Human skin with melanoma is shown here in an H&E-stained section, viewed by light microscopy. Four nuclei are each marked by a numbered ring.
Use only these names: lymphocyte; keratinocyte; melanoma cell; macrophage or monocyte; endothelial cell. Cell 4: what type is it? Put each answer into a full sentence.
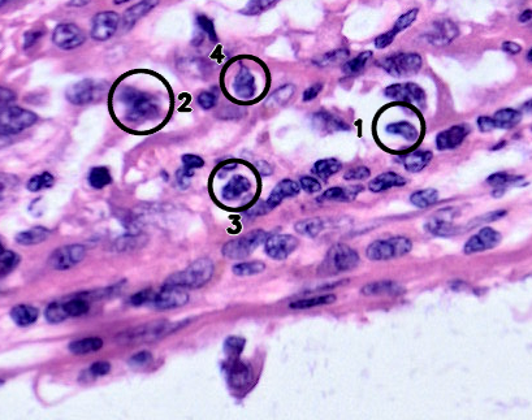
Number 4 among the marked cells is a lymphocyte.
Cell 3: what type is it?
Looking at the numbered marks, cell 3 is a lymphocyte.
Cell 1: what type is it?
At number 1, the marked cell is a lymphocyte.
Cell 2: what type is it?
The cell numbered 2 represents a melanoma cell.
